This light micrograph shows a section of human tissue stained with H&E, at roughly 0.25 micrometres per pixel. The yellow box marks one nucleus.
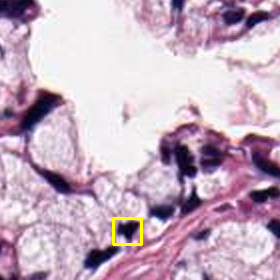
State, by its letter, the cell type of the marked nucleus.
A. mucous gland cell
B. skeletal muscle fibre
A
